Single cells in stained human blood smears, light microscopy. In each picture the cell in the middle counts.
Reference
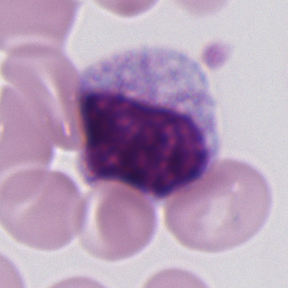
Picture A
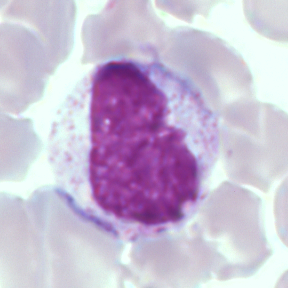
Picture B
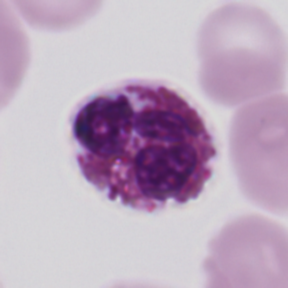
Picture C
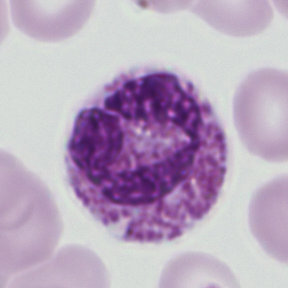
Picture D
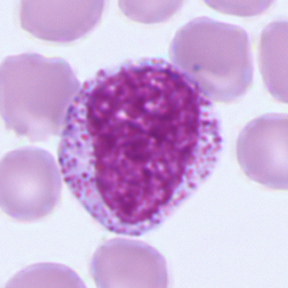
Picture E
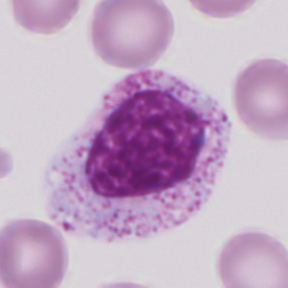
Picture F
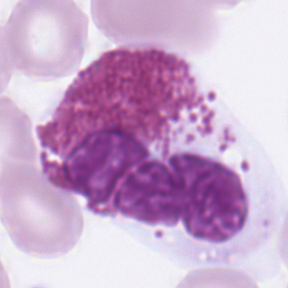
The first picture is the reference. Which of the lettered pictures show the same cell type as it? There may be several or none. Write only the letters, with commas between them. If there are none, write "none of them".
A, D, E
